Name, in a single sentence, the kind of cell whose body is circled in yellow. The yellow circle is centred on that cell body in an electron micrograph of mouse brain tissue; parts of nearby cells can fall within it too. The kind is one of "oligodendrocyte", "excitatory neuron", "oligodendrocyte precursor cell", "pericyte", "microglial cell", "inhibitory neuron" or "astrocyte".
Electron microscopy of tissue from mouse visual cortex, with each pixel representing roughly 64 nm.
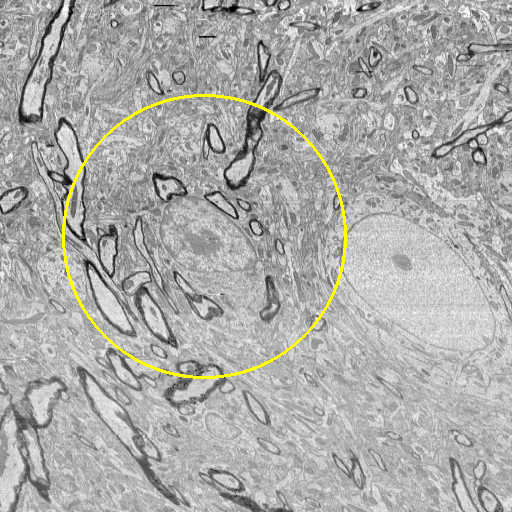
The circled cell body belongs to an oligodendrocyte.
